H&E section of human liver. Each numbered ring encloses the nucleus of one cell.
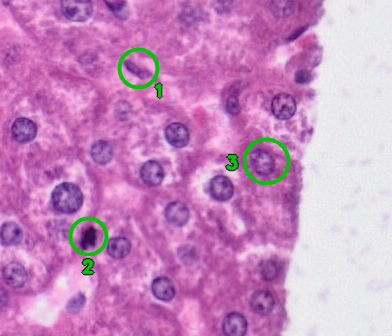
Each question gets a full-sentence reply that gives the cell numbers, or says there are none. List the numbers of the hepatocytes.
Only the cell numbered 3 qualifies as a hepatocyte among the marked cells.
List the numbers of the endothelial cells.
No marked cell except number 1 is an endothelial cell.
